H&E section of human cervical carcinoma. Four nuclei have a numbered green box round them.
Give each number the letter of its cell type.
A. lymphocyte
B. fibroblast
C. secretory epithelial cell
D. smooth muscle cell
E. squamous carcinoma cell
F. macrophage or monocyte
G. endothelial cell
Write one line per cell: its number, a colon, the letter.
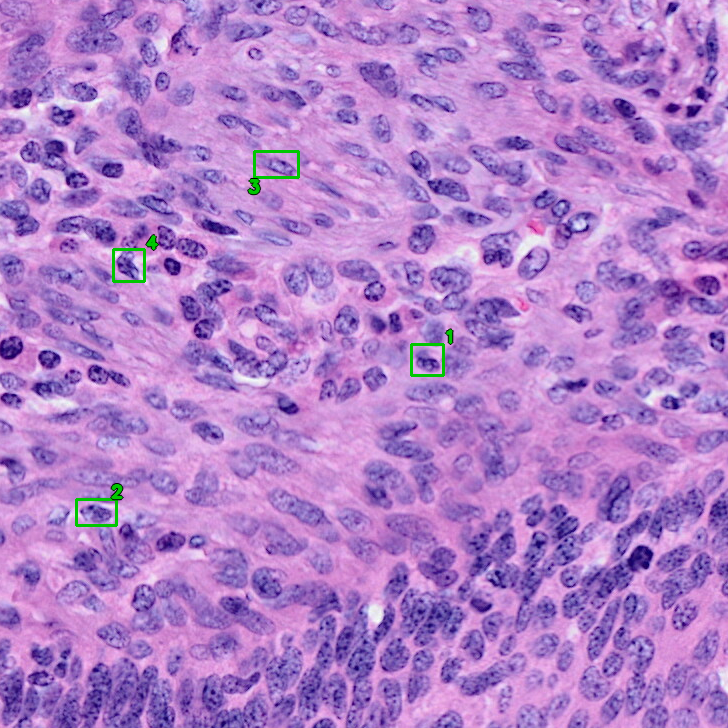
1: A
2: A
3: D
4: A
